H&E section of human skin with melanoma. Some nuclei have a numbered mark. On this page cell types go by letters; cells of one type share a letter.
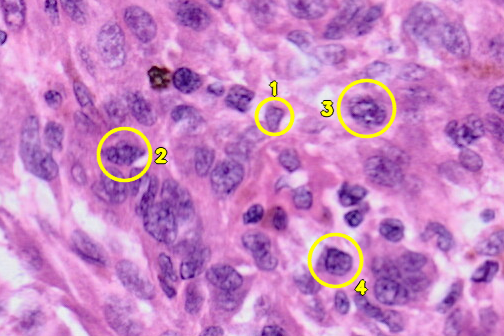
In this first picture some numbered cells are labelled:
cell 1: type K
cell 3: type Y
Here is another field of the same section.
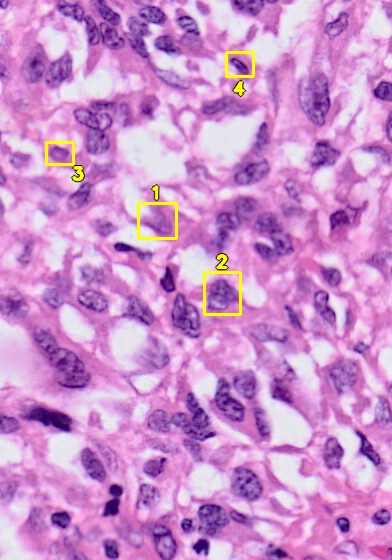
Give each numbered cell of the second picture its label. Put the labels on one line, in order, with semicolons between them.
type Y; type Y; type Y; type K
